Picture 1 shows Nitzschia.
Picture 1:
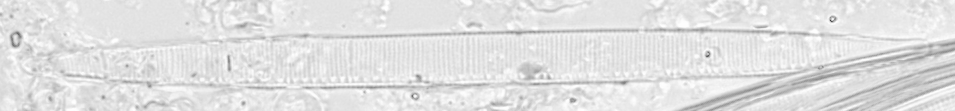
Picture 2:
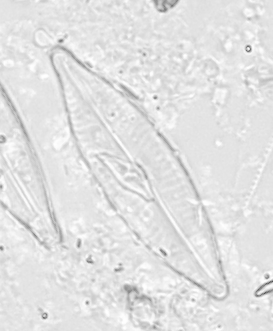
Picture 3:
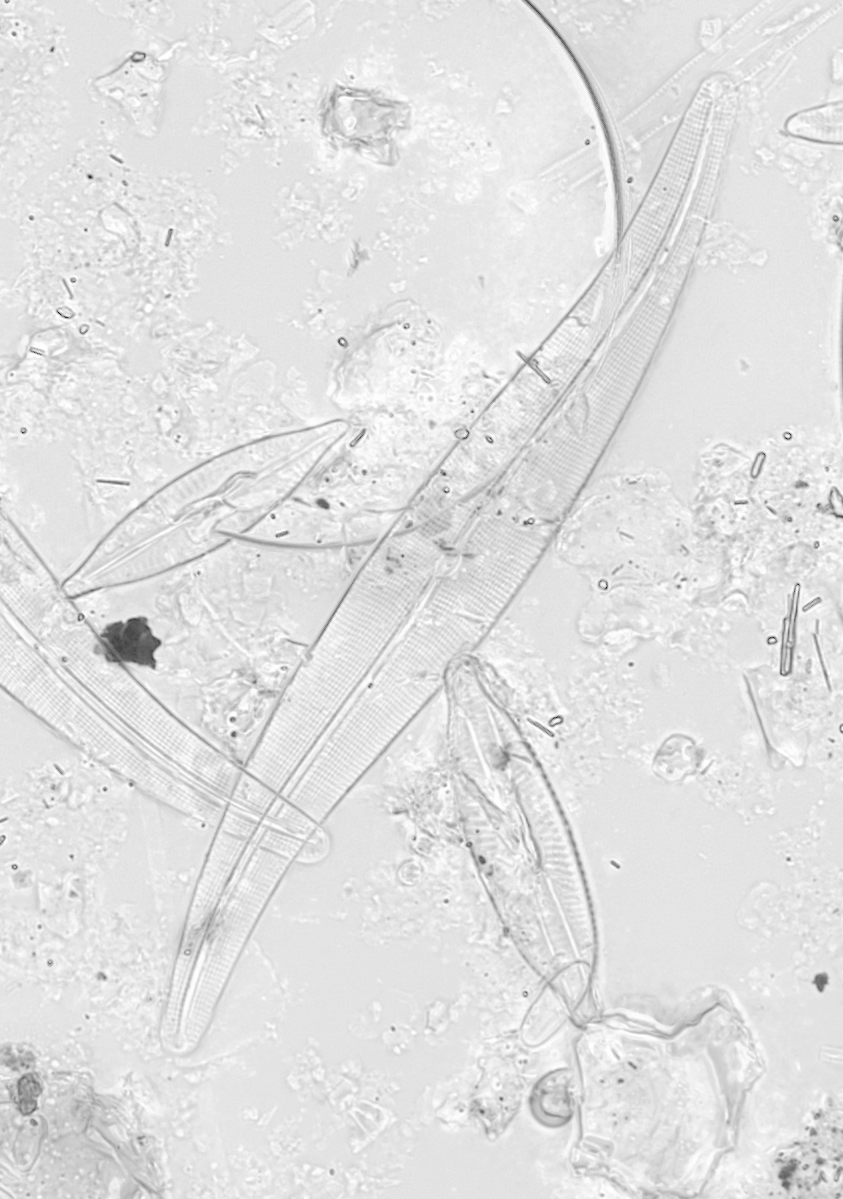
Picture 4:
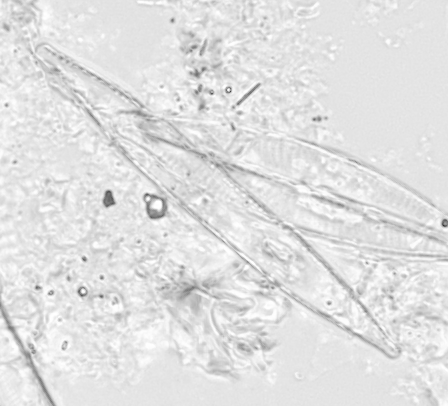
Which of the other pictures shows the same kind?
Picture 4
